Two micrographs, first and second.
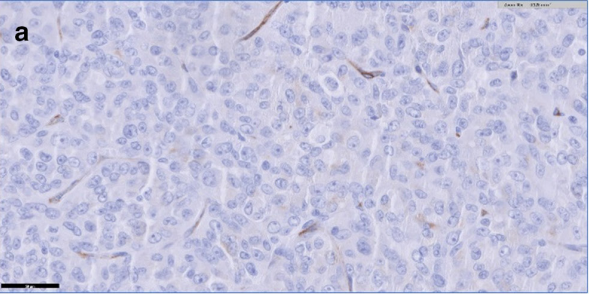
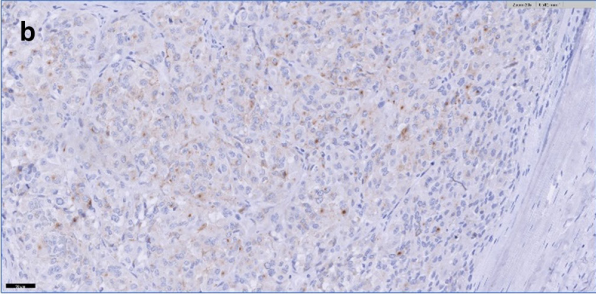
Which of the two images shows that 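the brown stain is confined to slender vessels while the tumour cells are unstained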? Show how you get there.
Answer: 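The first image. Second image: fine brown dots are scattered in the cytoplasm of many tumour cells. First image: brown stain outlines thin elongated vessels, and the tumour cells between them stay blue.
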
